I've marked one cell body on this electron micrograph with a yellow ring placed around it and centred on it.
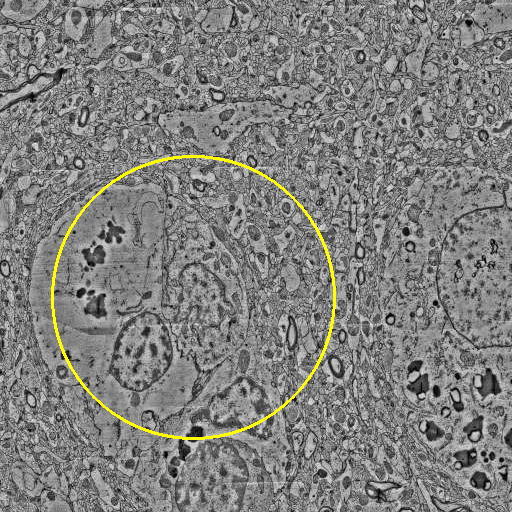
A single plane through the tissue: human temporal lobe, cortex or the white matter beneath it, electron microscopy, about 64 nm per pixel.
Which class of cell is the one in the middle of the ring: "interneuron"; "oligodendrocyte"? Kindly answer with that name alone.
interneuron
